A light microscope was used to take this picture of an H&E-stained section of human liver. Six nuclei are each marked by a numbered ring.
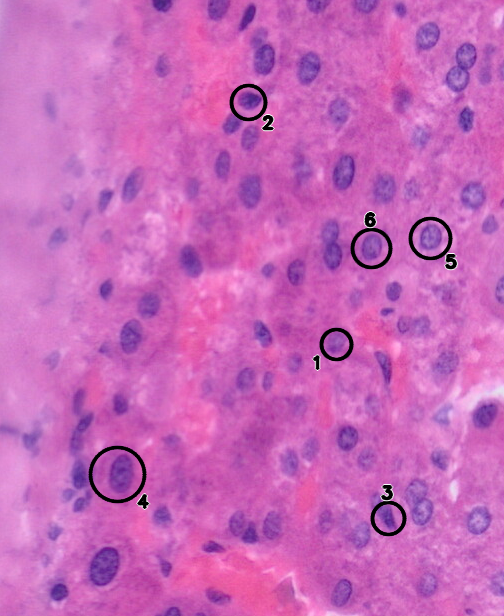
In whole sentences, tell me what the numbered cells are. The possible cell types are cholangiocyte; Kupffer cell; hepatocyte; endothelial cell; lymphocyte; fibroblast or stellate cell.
Cells 1, 4, 5 and 6 are hepatocytes. Cells 2 and 3 are fibroblasts or stellate cells.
